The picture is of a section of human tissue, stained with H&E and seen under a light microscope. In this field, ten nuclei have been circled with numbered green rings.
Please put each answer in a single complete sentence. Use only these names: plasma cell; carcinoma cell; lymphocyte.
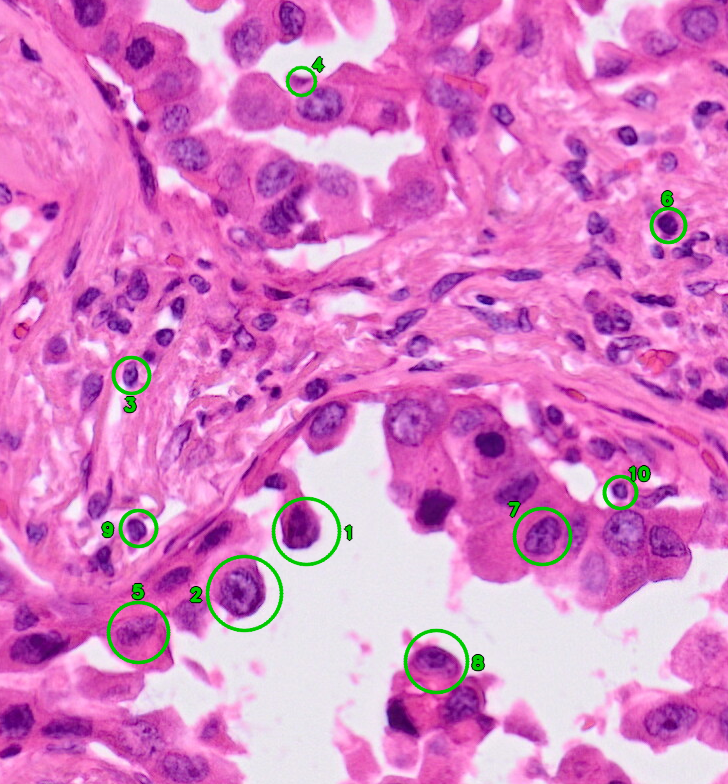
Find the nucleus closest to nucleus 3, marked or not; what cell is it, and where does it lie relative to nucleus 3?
The nearest one is a plasma cell, found above and to the right of nucleus 3.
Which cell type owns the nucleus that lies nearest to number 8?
It is a carcinoma cell whose nucleus is nearest to number 8.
